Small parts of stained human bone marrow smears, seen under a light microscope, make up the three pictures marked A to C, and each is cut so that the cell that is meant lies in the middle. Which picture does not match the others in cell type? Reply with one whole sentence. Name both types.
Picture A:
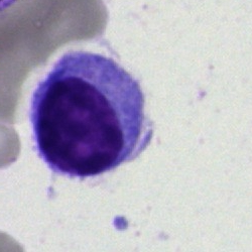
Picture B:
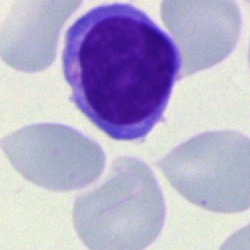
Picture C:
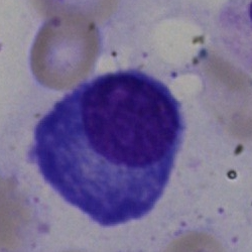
Unlike the rest, which show lymphocytes, picture C shows a plasma cell.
